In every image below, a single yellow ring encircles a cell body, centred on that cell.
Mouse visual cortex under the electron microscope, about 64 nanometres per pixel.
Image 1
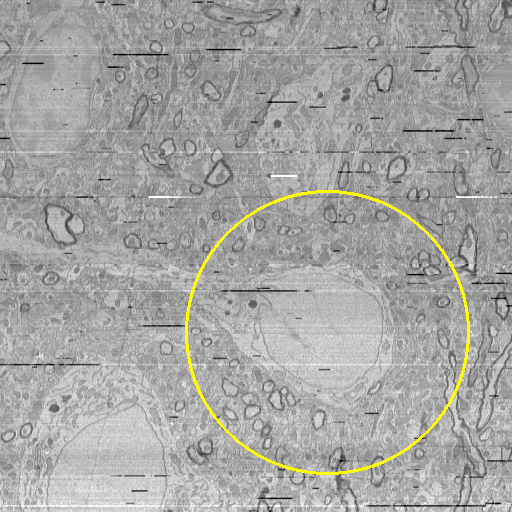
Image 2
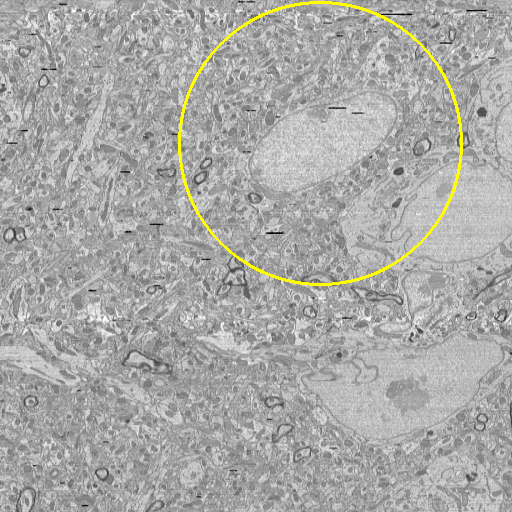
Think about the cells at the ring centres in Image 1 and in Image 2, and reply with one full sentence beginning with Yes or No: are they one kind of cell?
No, the cells centred in the rings of Image 1 and Image 2 are two kinds of cell.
